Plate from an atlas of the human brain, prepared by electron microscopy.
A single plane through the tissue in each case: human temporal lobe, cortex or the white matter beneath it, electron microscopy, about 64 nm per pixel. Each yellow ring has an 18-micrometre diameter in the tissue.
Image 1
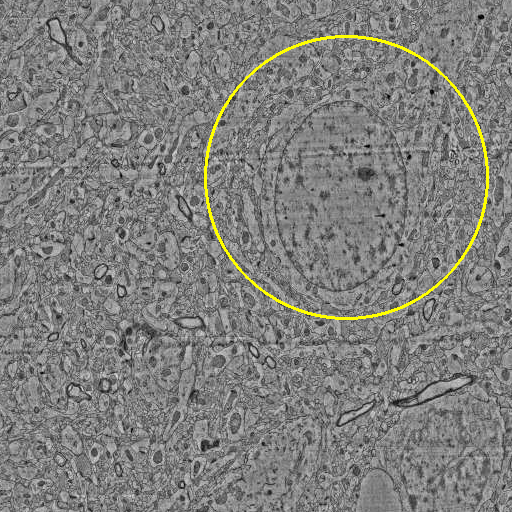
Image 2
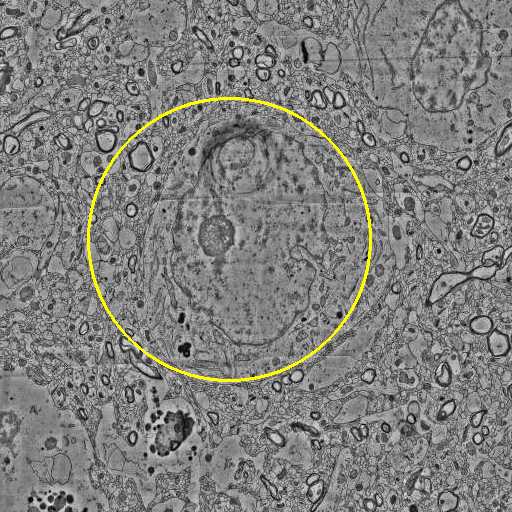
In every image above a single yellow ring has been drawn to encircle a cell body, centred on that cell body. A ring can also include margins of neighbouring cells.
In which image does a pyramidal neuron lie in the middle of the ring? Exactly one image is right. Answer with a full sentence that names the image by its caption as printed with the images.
Image 1 holds the requested cell at the very centre of its ring.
